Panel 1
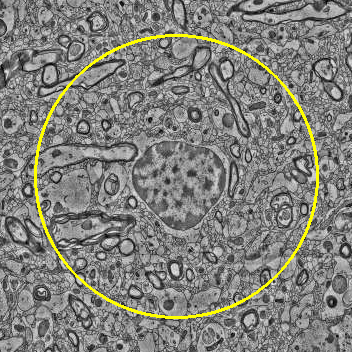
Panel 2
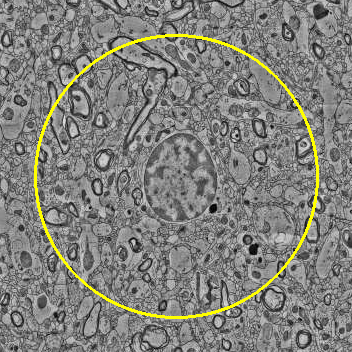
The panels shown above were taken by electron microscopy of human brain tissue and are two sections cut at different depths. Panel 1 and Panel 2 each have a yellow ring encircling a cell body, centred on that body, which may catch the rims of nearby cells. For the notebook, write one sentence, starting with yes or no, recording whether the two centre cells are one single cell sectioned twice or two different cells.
No, the two rings refer to two distinct cells.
